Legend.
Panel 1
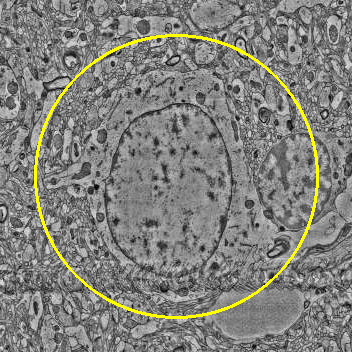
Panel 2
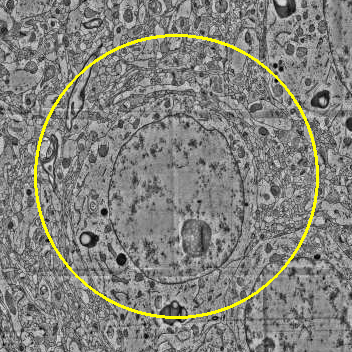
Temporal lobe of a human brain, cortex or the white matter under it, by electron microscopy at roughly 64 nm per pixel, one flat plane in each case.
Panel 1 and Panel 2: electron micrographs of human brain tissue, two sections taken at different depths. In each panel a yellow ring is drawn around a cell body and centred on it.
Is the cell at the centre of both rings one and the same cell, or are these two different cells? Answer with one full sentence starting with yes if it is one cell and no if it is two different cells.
No, two cells, not one, are marked by the yellow rings.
